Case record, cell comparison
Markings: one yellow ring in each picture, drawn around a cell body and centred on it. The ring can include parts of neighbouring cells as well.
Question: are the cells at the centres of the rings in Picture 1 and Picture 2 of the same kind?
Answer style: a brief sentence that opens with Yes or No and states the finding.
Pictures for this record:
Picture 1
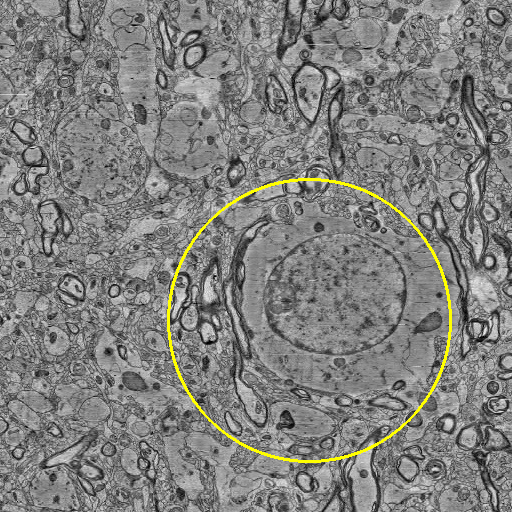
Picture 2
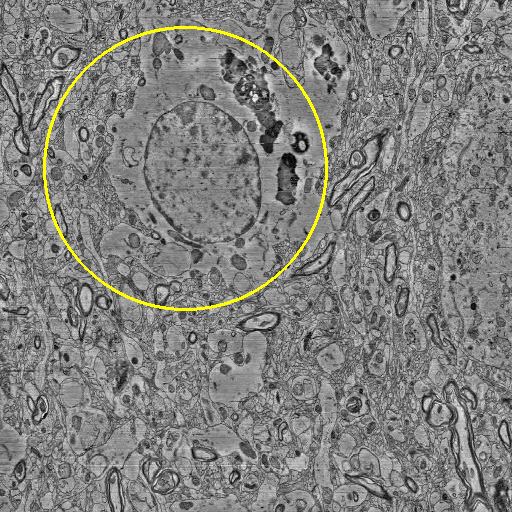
Yes, the cells in Picture 1 and Picture 2 are of the same kind.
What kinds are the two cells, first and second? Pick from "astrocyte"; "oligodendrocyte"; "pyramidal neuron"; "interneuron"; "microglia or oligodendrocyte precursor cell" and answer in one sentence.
In the first picture and in the second, the ring is centred on an astrocyte.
